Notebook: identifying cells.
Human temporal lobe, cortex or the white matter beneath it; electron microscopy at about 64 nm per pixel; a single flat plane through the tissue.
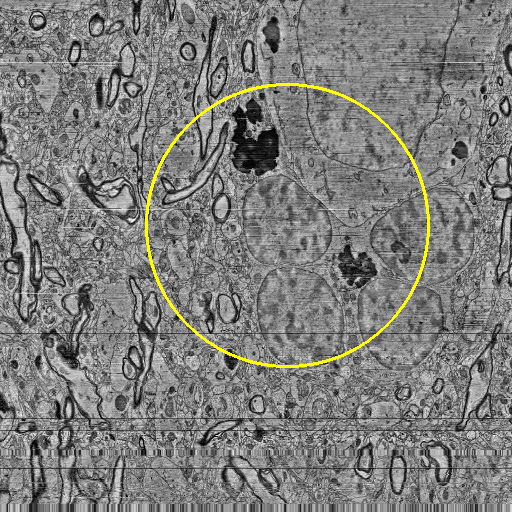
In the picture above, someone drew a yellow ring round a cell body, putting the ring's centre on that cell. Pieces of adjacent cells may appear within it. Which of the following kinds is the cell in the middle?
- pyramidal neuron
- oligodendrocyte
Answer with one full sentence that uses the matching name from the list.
In this picture, the yellow ring is centred on the body of an oligodendrocyte.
